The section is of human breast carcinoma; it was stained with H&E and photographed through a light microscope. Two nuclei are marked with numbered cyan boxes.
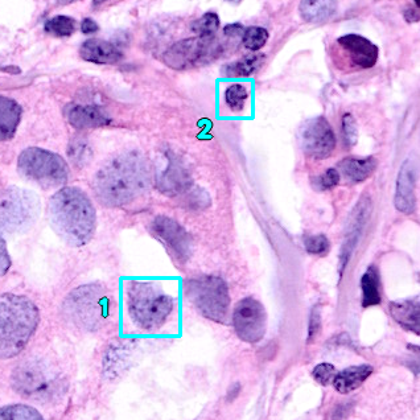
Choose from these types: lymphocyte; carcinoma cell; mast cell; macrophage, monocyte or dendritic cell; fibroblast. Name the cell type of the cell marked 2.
lymphocyte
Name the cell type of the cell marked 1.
carcinoma cell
